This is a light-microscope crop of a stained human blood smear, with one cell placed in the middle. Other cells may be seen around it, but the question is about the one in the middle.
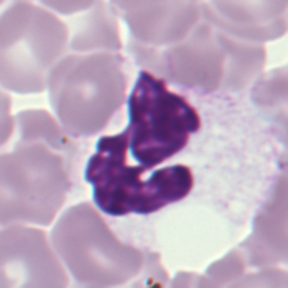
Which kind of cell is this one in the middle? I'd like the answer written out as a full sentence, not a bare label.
The crop centres on a single cell, and that cell is a neutrophil.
